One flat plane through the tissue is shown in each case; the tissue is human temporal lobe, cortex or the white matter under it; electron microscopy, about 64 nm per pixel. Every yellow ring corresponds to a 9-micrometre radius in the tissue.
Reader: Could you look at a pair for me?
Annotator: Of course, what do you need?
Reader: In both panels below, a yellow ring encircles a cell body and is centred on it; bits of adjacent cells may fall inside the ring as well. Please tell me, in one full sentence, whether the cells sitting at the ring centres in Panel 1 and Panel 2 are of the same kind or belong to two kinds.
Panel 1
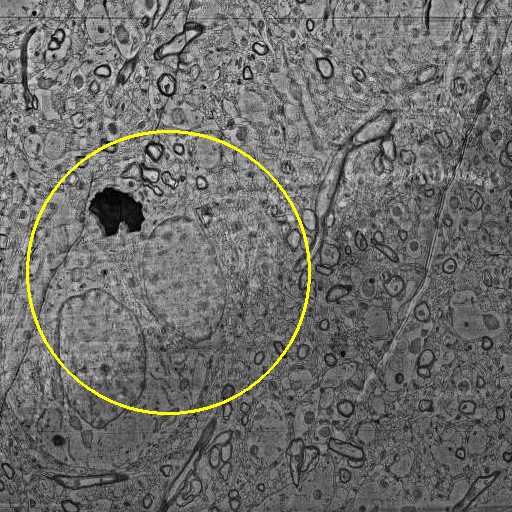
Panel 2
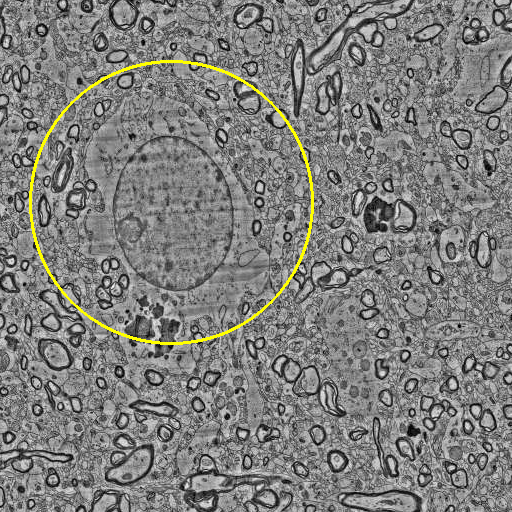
The cell at the ring's centre in Panel 1 and the one in Panel 2 belong to two kinds.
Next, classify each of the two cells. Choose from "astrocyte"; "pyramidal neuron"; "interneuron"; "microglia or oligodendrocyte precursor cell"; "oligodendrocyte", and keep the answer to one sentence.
In the first picture it is an oligodendrocyte; in the second it is an astrocyte.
